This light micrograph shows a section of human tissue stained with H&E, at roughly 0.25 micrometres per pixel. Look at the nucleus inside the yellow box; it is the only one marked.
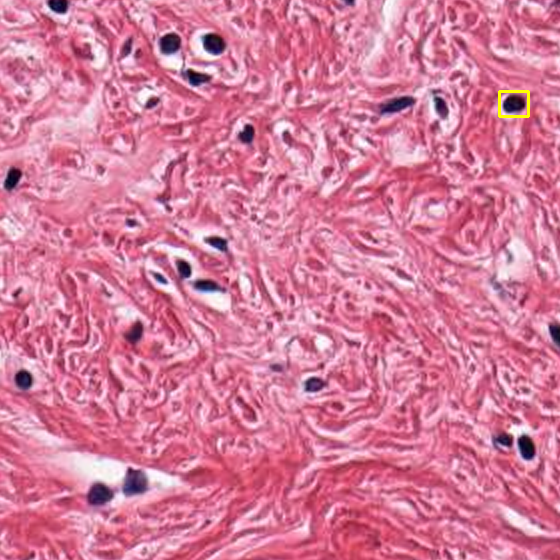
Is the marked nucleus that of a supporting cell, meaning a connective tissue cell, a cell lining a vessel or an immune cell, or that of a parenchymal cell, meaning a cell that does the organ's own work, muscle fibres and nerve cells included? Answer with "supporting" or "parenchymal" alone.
supporting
